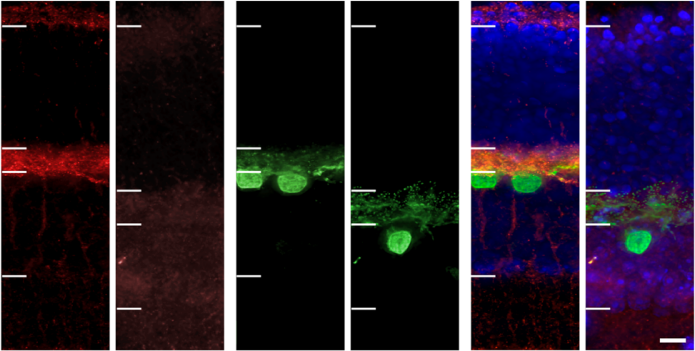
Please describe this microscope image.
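Vertical sections of retina show horizontal cells in green at the border between the outer synaptic layer and the inner nuclear layer. The horizontal cells have large, round cell bodies lying at the top of the inner nuclear layer, with processes spreading sideways within the outer synaptic band. The outer nuclear layer above is filled with densely packed blue nuclei and lacks green label. In one set of strips a bright red band fills the outer synaptic layer and a thin red line marks the top edge of the outer nuclear layer, with fine red threads running vertically through the inner layers; in the other set the red is only a diffuse haze.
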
